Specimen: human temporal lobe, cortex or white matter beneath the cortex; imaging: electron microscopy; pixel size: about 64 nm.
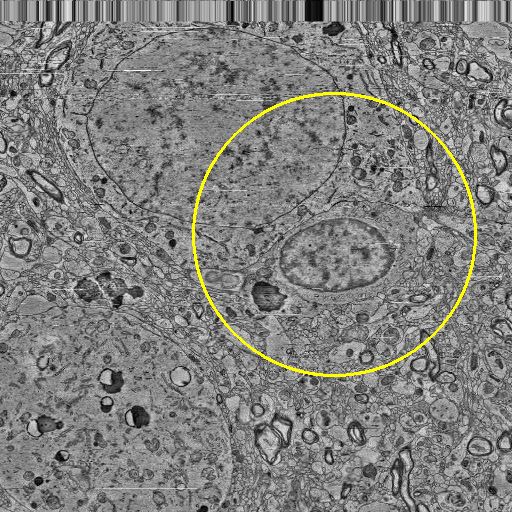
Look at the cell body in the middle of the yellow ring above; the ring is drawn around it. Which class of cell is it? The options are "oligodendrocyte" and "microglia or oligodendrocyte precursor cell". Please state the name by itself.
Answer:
oligodendrocyte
